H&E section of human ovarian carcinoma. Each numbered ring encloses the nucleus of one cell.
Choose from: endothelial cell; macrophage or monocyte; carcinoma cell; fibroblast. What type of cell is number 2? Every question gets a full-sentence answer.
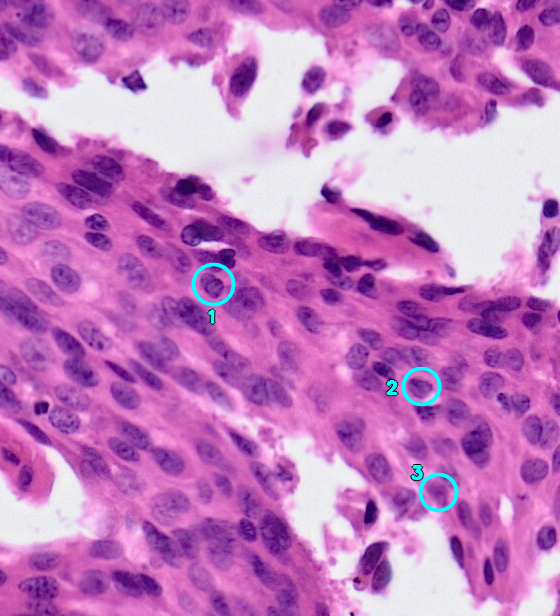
The cell numbered 2 represents a macrophage or monocyte.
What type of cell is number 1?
The cell numbered 1 represents a macrophage or monocyte.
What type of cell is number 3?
The cell identified by number 3 is a carcinoma cell.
